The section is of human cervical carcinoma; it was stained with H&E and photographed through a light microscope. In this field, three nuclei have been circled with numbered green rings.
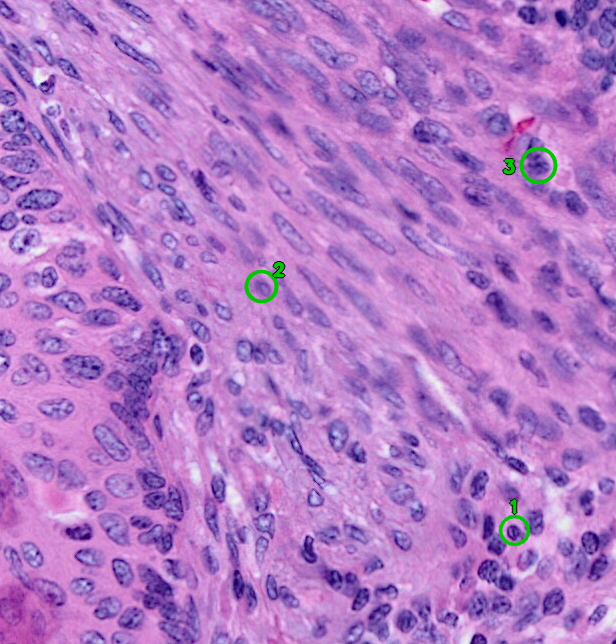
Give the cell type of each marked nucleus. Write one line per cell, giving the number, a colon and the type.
1: lymphocyte
2: smooth muscle cell
3: lymphocyte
